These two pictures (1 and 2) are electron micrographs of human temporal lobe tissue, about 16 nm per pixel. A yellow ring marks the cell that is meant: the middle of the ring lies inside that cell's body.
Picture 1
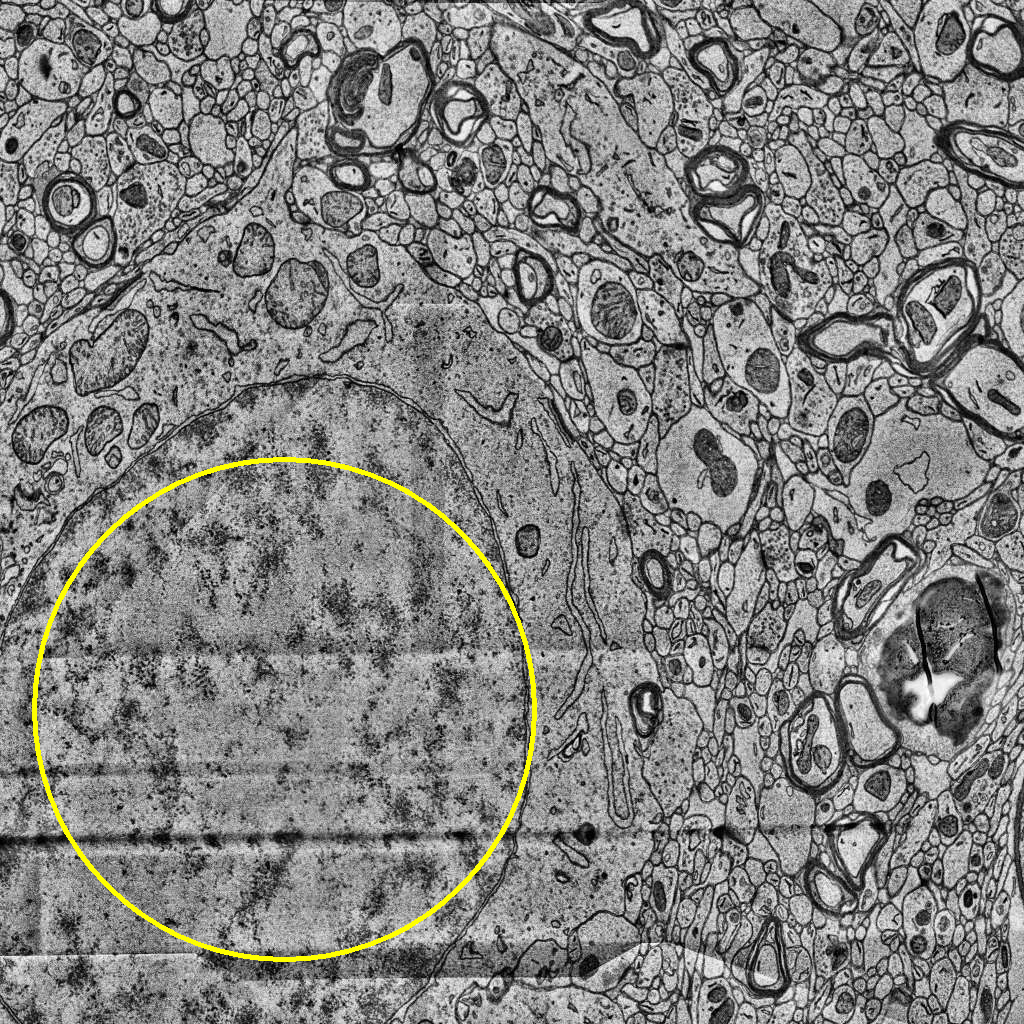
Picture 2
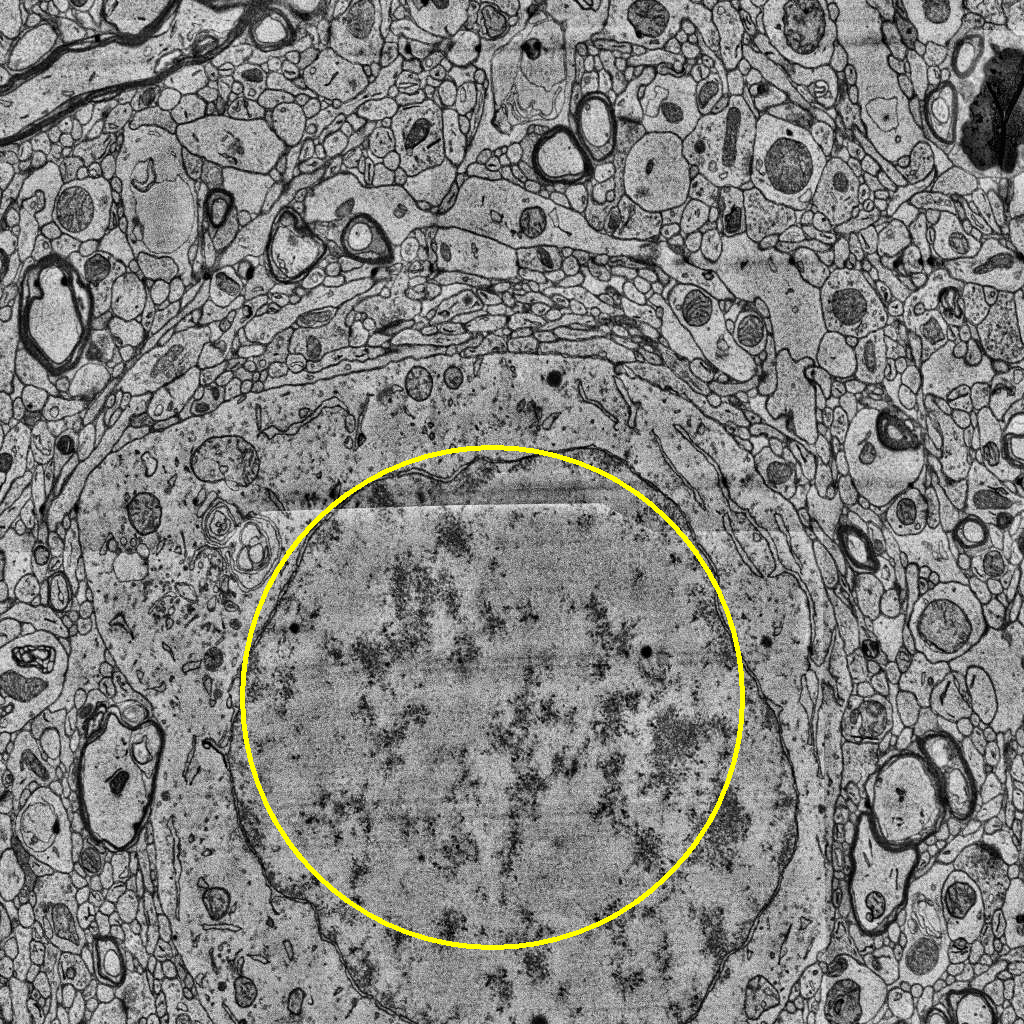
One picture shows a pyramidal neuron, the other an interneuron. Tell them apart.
Picture 1 is of an interneuron, and picture 2 is of a pyramidal neuron.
